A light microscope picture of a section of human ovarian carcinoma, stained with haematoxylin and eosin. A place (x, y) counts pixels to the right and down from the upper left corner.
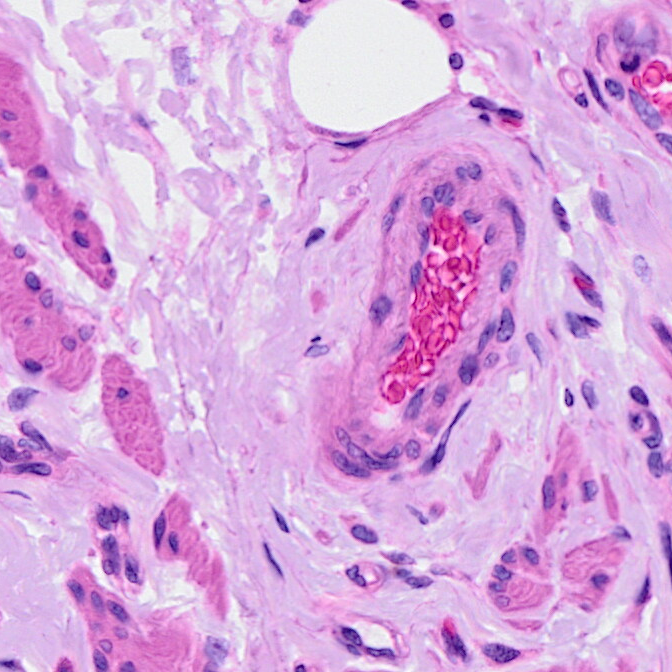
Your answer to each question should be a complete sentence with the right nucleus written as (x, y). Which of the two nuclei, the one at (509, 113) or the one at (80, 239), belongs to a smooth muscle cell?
The nucleus at (80, 239) is attributed to a smooth muscle cell, unlike the other nucleus.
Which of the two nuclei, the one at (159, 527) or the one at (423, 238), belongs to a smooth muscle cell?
It is the nucleus at (159, 527) that forms part of a smooth muscle cell.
